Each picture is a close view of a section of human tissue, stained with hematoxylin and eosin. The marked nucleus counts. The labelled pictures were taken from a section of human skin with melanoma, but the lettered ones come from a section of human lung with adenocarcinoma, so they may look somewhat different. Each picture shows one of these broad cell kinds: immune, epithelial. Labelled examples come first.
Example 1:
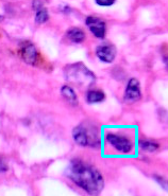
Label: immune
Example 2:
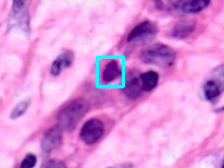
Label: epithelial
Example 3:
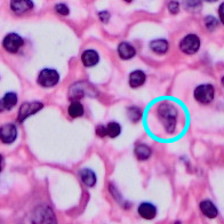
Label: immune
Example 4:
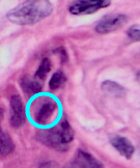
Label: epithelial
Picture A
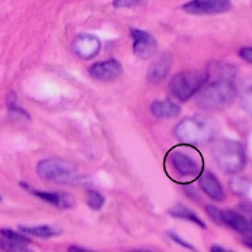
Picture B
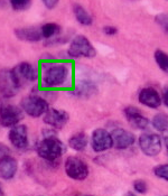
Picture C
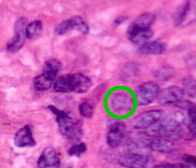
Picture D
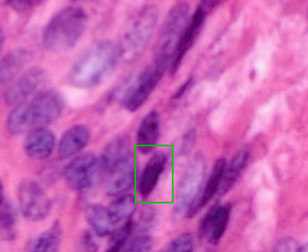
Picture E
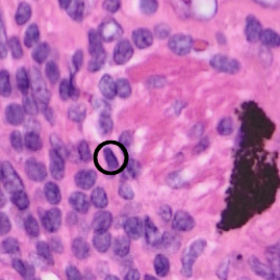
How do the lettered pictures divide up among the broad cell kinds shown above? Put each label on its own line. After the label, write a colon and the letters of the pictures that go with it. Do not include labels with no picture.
immune: B, E
epithelial: A, C, D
